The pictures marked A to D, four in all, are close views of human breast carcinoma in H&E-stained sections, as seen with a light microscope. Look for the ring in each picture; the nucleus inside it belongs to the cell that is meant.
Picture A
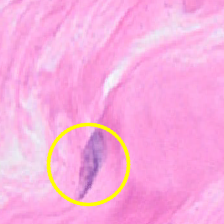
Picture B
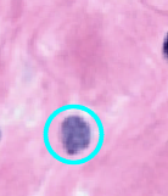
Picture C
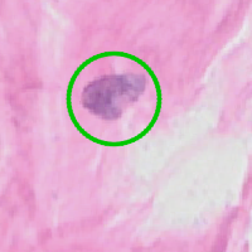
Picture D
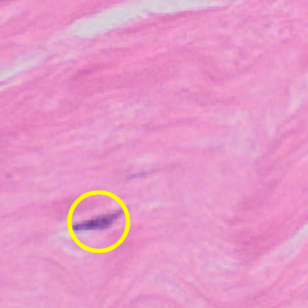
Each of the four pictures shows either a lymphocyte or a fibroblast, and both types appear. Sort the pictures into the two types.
A: fibroblast
B: lymphocyte
C: fibroblast
D: fibroblast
